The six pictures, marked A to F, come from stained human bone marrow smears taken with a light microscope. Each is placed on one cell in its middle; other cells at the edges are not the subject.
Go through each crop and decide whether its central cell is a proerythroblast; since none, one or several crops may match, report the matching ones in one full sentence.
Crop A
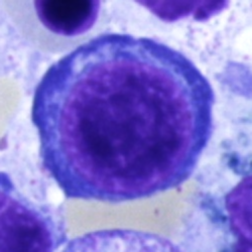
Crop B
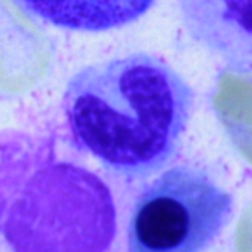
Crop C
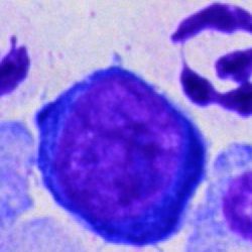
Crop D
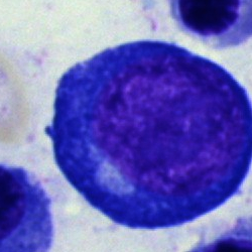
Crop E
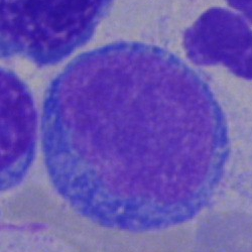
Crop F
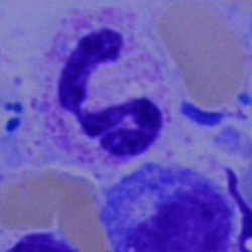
The identity of the central cells in crops A, C, D and E is that of proerythroblasts.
